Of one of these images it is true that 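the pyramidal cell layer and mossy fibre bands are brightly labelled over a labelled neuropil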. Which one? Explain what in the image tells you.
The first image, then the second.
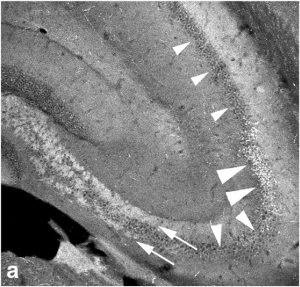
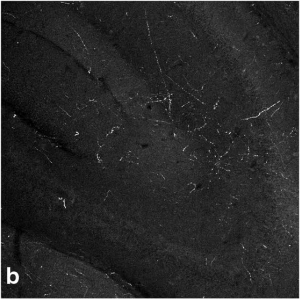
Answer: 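The first image. Second image: the section is dark, with only scattered thin bright threads and no labelled cell layer. First image: the neuropil is grey and the curved cell layer and bands beside it are bright.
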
